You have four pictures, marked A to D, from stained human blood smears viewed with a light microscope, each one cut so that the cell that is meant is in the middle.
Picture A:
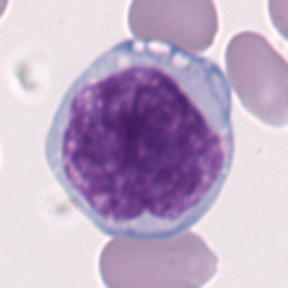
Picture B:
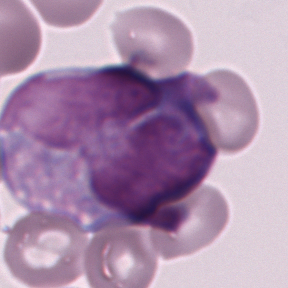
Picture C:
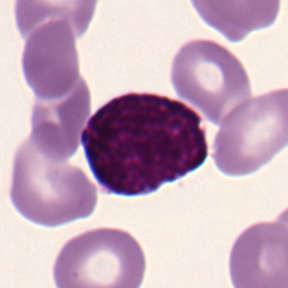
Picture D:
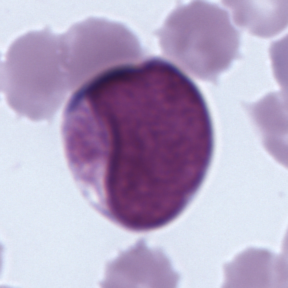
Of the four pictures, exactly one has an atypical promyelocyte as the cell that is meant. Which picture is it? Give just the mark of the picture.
B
